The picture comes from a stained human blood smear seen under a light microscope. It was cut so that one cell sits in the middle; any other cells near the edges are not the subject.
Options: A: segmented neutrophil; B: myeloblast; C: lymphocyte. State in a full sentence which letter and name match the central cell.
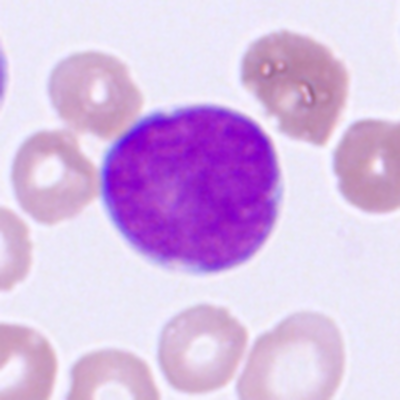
The central cell in this crop is a myeloblast, corresponding to option B, the correct option.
